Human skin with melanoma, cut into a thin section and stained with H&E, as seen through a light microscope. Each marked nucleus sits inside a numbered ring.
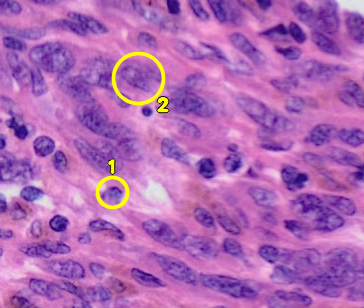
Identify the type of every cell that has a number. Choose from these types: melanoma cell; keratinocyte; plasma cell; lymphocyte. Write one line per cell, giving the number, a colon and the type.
1: lymphocyte
2: melanoma cell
